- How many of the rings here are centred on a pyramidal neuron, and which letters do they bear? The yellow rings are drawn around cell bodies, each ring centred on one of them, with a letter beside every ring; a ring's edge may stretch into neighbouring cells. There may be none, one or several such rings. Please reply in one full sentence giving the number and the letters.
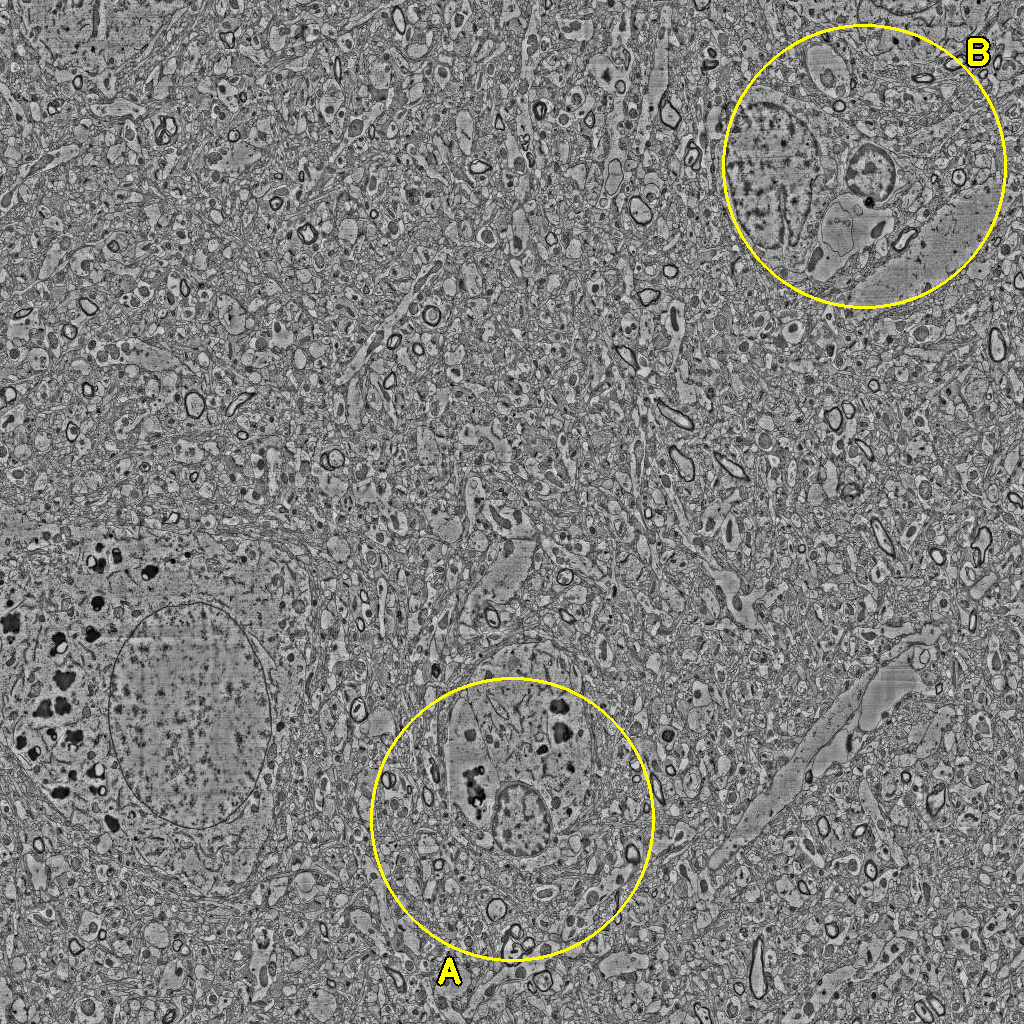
The micrograph contains no ring centred on a pyramidal neuron, and the count is therefore zero.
